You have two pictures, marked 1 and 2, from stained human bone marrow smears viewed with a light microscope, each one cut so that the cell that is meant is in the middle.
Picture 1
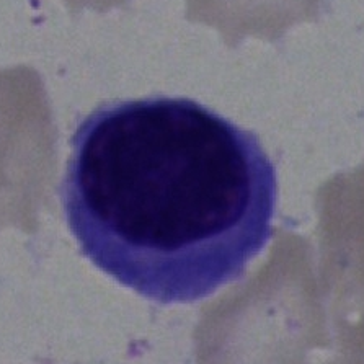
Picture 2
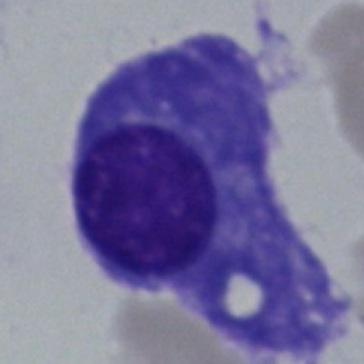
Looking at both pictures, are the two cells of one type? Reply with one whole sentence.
Yes, they are the same type: both are plasma cells.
